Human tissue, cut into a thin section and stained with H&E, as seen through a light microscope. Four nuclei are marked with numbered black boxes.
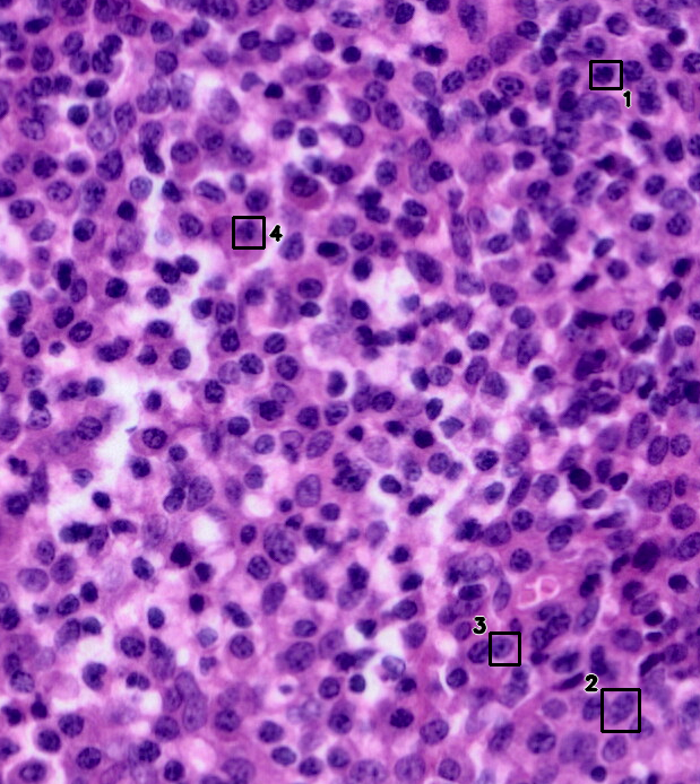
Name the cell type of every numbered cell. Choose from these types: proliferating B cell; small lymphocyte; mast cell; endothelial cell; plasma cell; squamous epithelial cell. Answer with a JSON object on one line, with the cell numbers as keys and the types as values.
{"1": "plasma cell", "2": "squamous epithelial cell", "3": "plasma cell", "4": "plasma cell"}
